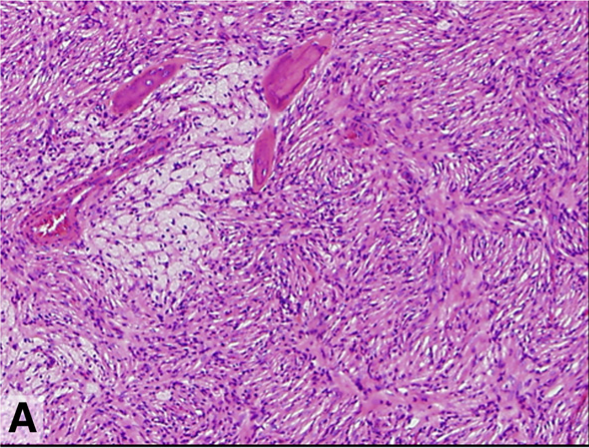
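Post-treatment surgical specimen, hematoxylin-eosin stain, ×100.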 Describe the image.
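At lower power the tissue is a dense, diffuse proliferation of short spindle-shaped cells that run in short intersecting fascicles and whorls, a storiform pattern that resembles benign fibrous histiocytoma. In the upper left a pale, loose area is made of a cluster of foam cells with clear, bubbly cytoplasm. Several elongated, homogeneous, deeply pink structures with sharp edges lie within and beside this pale area. The spindle-cell nuclei are small and dark, evenly spread through a pink stroma, and no large multinucleated giant cells stand out.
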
